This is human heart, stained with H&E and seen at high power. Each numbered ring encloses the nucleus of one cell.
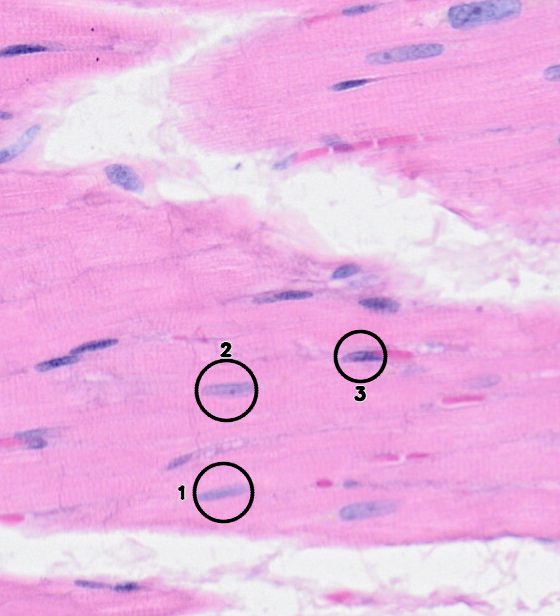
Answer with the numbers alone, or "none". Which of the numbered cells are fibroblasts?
none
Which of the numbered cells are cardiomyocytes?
1, 2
